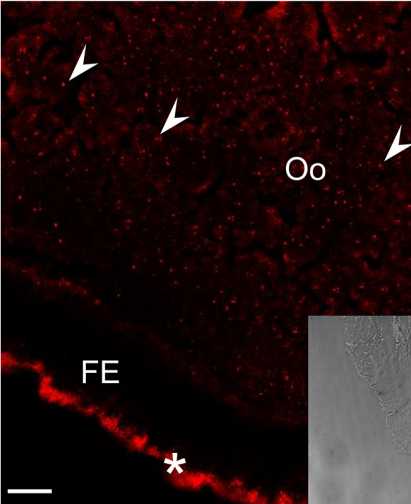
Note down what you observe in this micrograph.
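The oocyte cytoplasm no longer shows large distinct round bodies but a fine, evenly spread pattern of small red dots, some marked by arrowheads. Below the oocyte lies a dark band of follicular epithelium. Along its outer edge runs a bright, continuous, somewhat wavy red line, marked by the asterisk. The inset shows the elongated follicle at low power.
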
